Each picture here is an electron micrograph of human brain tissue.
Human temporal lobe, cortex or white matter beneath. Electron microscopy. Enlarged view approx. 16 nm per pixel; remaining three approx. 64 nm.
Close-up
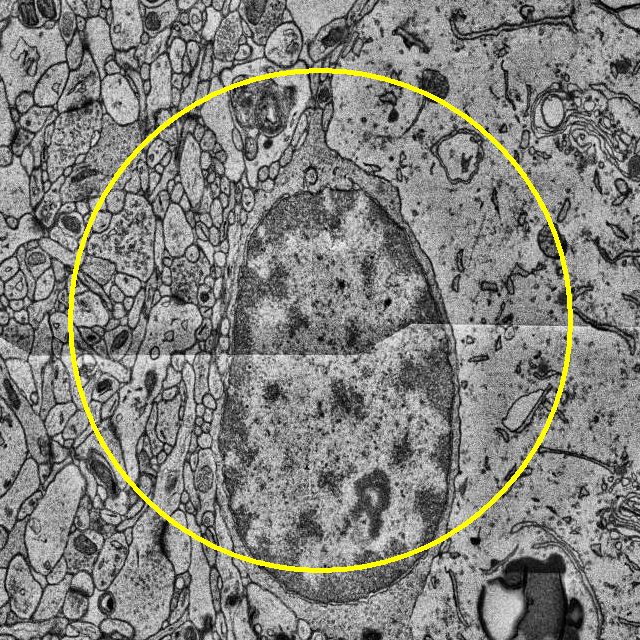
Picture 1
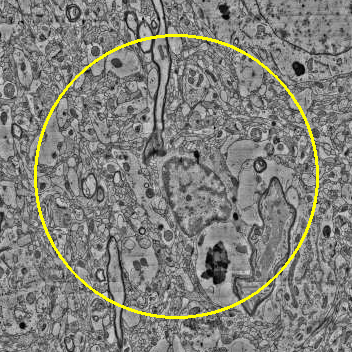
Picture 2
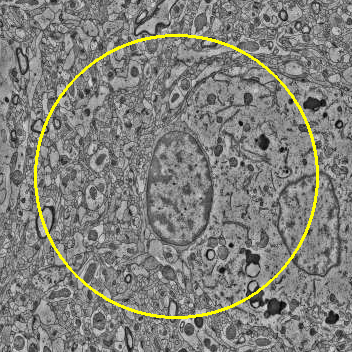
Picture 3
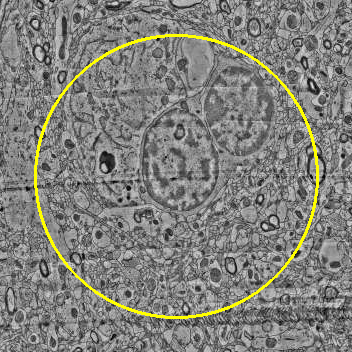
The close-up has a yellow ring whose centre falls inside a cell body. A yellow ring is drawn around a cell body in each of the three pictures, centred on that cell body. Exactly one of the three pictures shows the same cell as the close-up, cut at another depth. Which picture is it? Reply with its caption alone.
Picture 2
